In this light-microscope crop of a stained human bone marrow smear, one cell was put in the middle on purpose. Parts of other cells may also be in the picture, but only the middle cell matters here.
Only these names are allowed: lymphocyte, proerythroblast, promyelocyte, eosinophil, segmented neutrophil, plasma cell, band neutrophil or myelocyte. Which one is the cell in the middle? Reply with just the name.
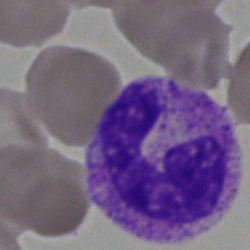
segmented neutrophil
